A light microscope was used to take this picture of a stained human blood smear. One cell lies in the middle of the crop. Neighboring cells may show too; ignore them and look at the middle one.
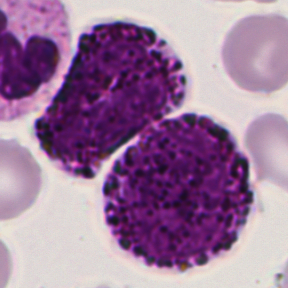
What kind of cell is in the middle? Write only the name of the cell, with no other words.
basophil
